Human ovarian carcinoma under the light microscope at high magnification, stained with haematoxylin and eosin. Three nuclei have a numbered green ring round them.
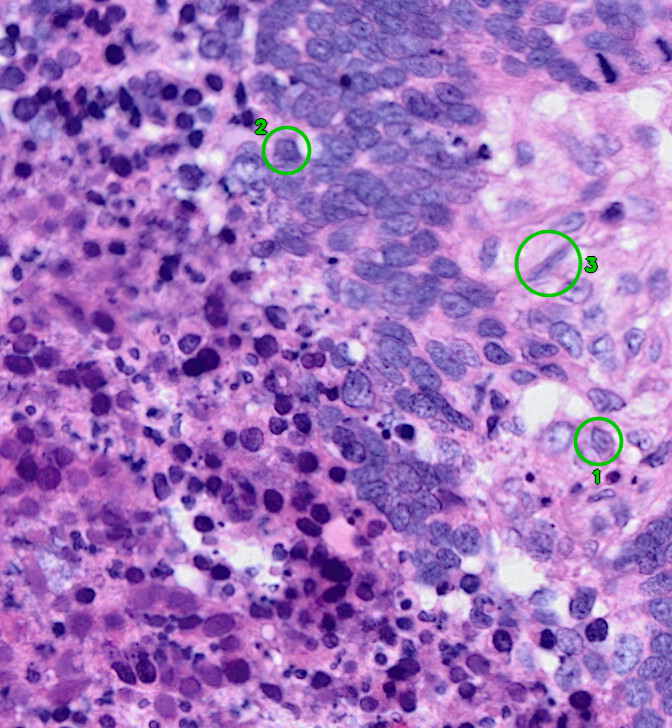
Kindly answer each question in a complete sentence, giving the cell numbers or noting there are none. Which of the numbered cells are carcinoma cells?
Only at number 2 is there a carcinoma cell among the marked cells.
